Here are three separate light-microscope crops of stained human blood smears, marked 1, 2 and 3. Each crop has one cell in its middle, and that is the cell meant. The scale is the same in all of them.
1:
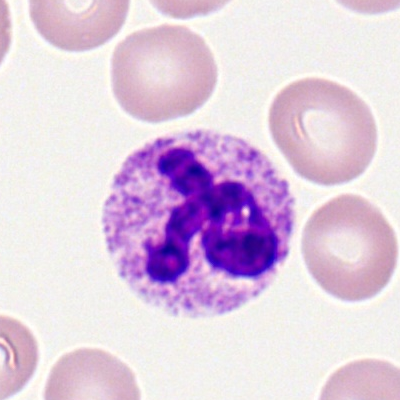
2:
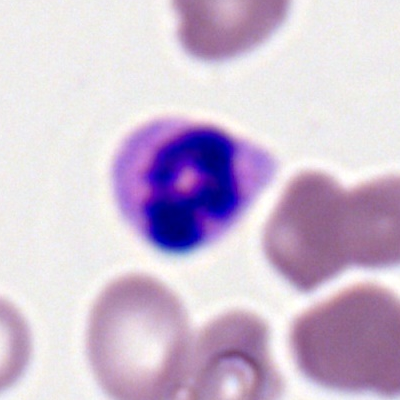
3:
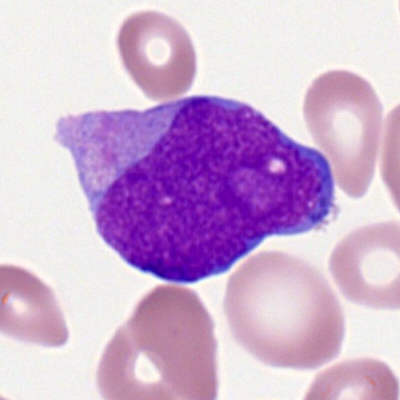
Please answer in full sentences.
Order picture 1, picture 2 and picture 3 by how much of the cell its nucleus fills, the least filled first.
They run 1, 2, 3, the least filled first.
